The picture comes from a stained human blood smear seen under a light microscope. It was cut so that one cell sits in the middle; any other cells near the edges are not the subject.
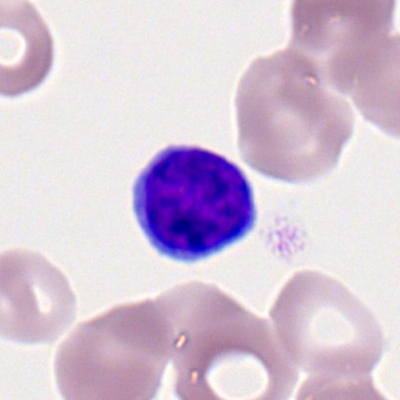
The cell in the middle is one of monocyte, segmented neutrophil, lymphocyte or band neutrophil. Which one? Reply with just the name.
lymphocyte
